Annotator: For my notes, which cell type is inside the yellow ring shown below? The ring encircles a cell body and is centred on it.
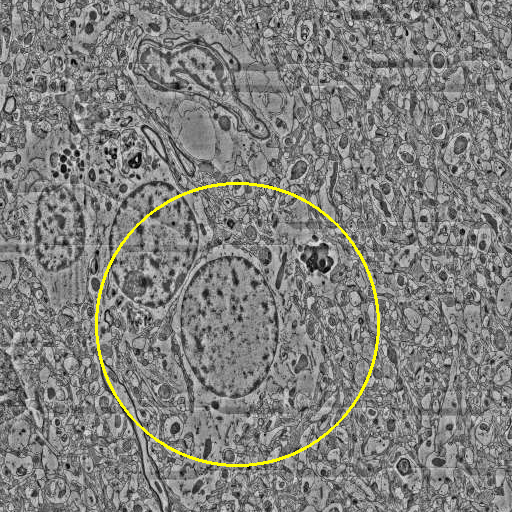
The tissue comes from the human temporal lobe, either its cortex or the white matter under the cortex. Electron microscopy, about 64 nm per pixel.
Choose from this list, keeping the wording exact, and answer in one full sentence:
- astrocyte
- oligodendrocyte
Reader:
At the centre of the yellow ring there is an astrocyte, as shown in the picture.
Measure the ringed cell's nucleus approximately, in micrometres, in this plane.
About 9 micrometres by about 6 micrometres in this plane.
